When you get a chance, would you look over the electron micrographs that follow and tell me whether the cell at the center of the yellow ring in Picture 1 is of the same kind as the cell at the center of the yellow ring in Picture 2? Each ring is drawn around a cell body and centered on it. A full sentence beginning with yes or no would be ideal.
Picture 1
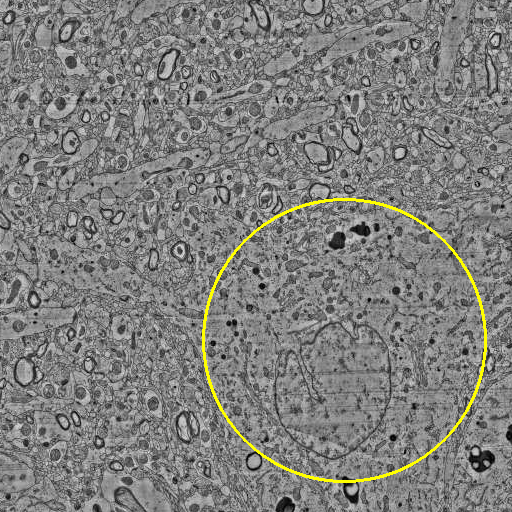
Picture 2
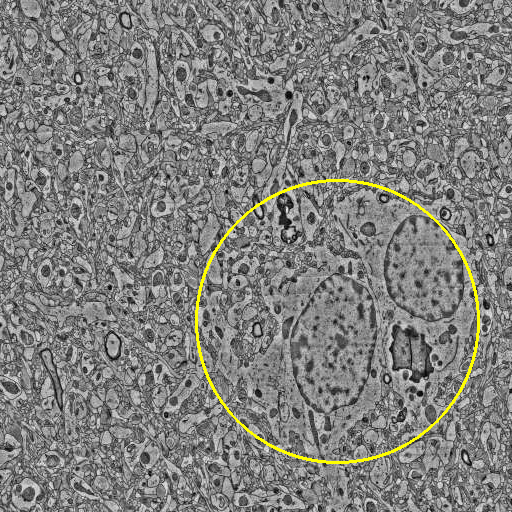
No, they are two kinds of cell.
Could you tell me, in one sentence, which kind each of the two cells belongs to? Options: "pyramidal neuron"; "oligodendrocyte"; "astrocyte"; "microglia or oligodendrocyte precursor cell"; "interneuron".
At the centre of the first ring sits a pyramidal neuron, and at the centre of the second sits an astrocyte.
